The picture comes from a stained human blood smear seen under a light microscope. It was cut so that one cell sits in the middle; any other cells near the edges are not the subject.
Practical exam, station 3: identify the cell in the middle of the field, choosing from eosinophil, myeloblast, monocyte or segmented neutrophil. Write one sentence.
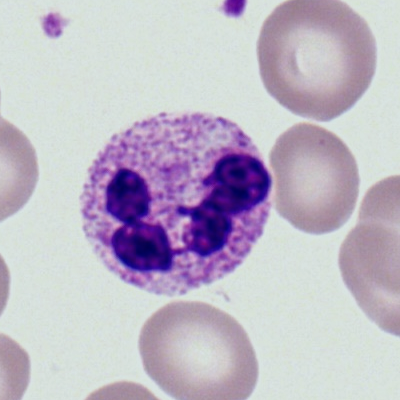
Whatever else lies nearby, the middle cell is a segmented neutrophil.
